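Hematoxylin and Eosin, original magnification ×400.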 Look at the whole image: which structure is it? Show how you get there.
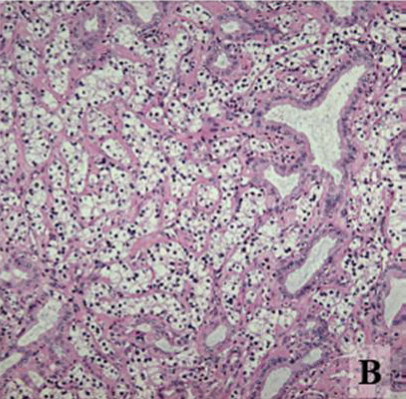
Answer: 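Solid nests and trabecular growth. The clear cells form groups and cords. Thin pink septa separate the groups and cords.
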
